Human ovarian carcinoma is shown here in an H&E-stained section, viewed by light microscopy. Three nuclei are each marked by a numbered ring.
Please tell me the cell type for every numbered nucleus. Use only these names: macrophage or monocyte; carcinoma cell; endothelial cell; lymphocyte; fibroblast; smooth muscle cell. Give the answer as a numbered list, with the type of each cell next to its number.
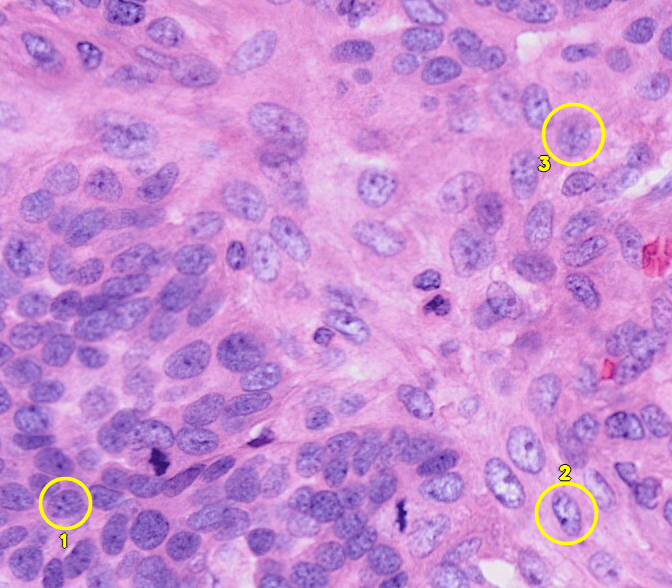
1. carcinoma cell
2. fibroblast
3. fibroblast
